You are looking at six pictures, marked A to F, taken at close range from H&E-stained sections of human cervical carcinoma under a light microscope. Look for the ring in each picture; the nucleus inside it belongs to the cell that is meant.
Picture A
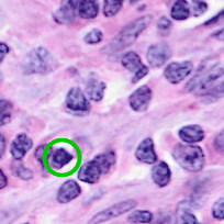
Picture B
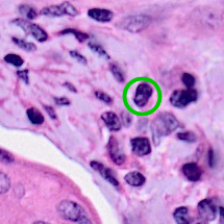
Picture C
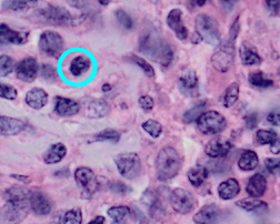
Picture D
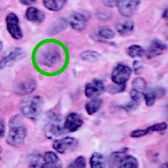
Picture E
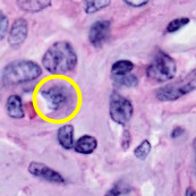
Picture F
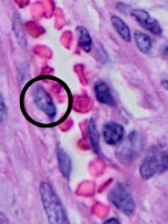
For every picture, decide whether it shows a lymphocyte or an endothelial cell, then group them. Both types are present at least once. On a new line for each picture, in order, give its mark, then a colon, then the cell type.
A: lymphocyte
B: lymphocyte
C: lymphocyte
D: endothelial cell
E: endothelial cell
F: endothelial cell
